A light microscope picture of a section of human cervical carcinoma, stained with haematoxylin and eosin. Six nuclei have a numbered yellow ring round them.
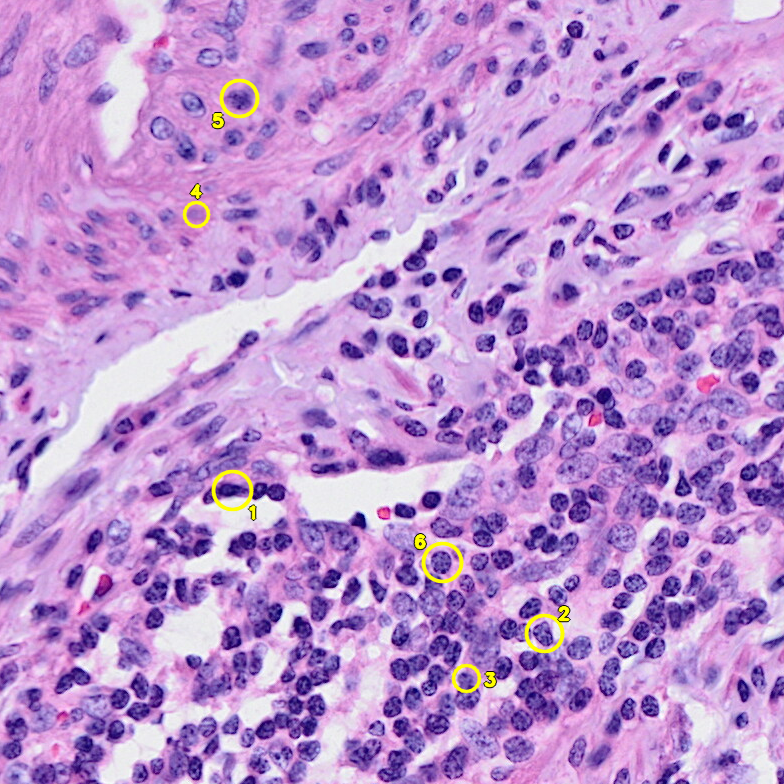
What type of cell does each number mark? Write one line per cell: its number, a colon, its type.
1: lymphocyte
2: lymphocyte
3: lymphocyte
4: smooth muscle cell
5: smooth muscle cell
6: lymphocyte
